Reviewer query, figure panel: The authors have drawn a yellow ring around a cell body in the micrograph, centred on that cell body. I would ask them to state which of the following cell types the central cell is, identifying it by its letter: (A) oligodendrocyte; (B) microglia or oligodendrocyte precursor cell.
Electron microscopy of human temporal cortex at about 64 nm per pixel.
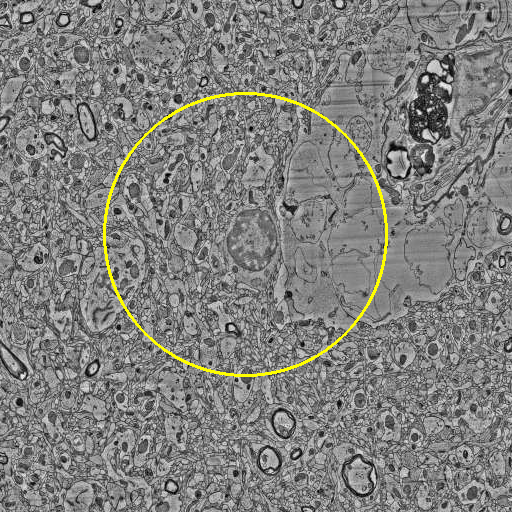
A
